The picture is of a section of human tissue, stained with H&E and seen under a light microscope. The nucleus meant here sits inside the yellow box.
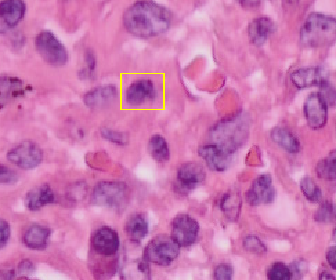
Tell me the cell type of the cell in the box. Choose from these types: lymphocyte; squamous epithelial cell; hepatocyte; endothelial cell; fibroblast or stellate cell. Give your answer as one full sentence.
As for its identity, the cell in the box is a lymphocyte.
